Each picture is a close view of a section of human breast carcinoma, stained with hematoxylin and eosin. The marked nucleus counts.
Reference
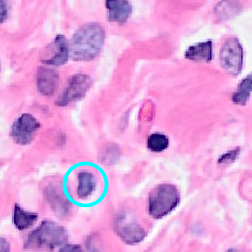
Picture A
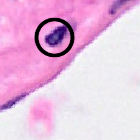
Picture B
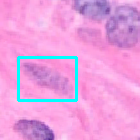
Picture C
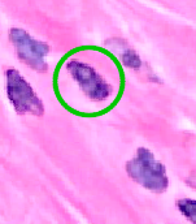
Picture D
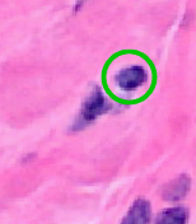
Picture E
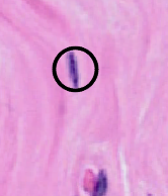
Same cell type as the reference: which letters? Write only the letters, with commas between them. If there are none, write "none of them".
A, C, D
